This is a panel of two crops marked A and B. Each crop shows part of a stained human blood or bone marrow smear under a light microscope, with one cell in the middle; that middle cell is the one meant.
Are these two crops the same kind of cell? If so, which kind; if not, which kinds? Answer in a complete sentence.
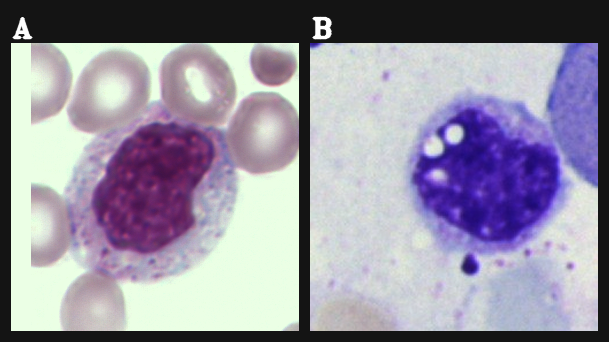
Yes, both crops show metamyelocytes, and nothing else needs adding.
